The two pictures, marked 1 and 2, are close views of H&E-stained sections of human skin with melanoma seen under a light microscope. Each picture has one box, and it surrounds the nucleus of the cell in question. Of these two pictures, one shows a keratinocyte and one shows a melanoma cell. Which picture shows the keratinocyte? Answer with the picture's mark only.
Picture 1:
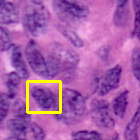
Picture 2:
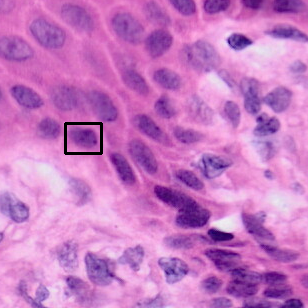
2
